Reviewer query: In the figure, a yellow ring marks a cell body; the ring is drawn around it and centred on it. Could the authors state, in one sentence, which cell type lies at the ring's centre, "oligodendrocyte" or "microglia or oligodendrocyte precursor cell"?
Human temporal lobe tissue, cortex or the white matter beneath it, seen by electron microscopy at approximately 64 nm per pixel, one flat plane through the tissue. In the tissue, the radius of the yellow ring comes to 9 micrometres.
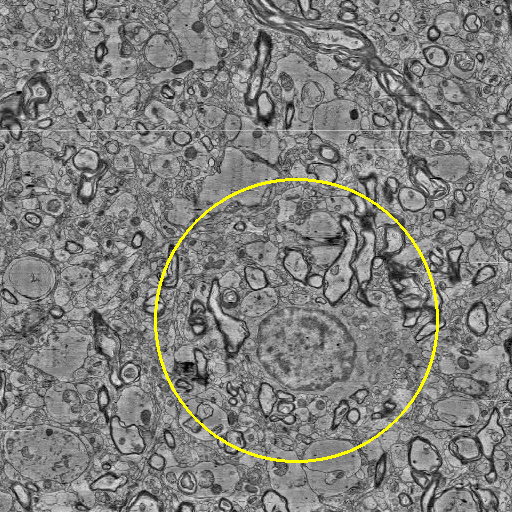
The ring is centred on an oligodendrocyte.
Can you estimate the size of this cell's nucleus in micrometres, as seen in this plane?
Approximately 6 micrometres across in this plane.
